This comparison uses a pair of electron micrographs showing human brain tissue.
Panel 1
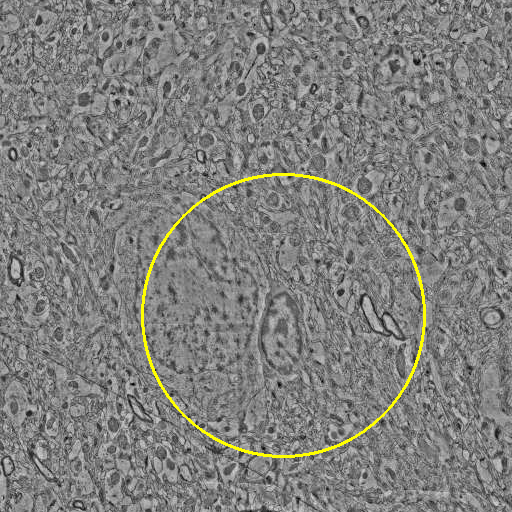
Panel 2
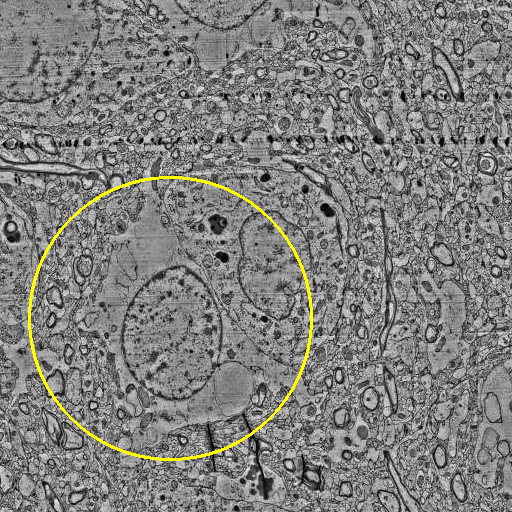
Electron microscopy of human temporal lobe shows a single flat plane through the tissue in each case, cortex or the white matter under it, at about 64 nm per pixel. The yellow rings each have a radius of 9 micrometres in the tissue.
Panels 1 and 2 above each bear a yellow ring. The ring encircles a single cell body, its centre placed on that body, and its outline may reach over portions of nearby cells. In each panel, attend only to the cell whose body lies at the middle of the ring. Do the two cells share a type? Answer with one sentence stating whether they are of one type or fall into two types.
In Panel 1 and Panel 2, the cells at the centres of the rings fall into two types.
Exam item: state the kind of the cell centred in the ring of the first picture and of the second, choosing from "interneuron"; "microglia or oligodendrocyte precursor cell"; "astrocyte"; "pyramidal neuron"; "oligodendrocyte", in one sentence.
The first picture shows an oligodendrocyte at the ring centre and the second shows an astrocyte.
